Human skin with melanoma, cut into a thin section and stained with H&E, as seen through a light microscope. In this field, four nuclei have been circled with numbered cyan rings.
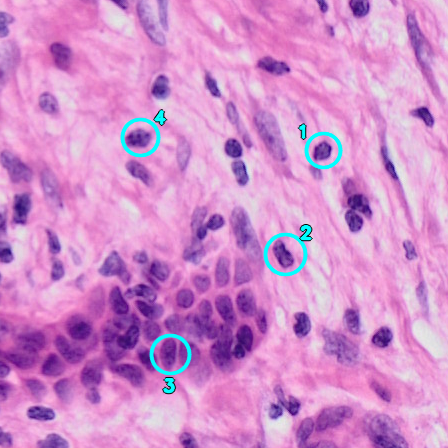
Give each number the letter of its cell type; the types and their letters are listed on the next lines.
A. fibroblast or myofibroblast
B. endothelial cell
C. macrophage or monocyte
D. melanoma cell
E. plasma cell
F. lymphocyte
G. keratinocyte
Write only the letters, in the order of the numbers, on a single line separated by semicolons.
F; F; G; F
